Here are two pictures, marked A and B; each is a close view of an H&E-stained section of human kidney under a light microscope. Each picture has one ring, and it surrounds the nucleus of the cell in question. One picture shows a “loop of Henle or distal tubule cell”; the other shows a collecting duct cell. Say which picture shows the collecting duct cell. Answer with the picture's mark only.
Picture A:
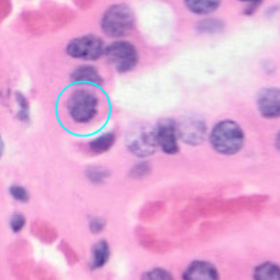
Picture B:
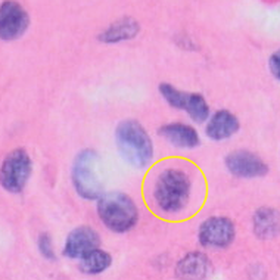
A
